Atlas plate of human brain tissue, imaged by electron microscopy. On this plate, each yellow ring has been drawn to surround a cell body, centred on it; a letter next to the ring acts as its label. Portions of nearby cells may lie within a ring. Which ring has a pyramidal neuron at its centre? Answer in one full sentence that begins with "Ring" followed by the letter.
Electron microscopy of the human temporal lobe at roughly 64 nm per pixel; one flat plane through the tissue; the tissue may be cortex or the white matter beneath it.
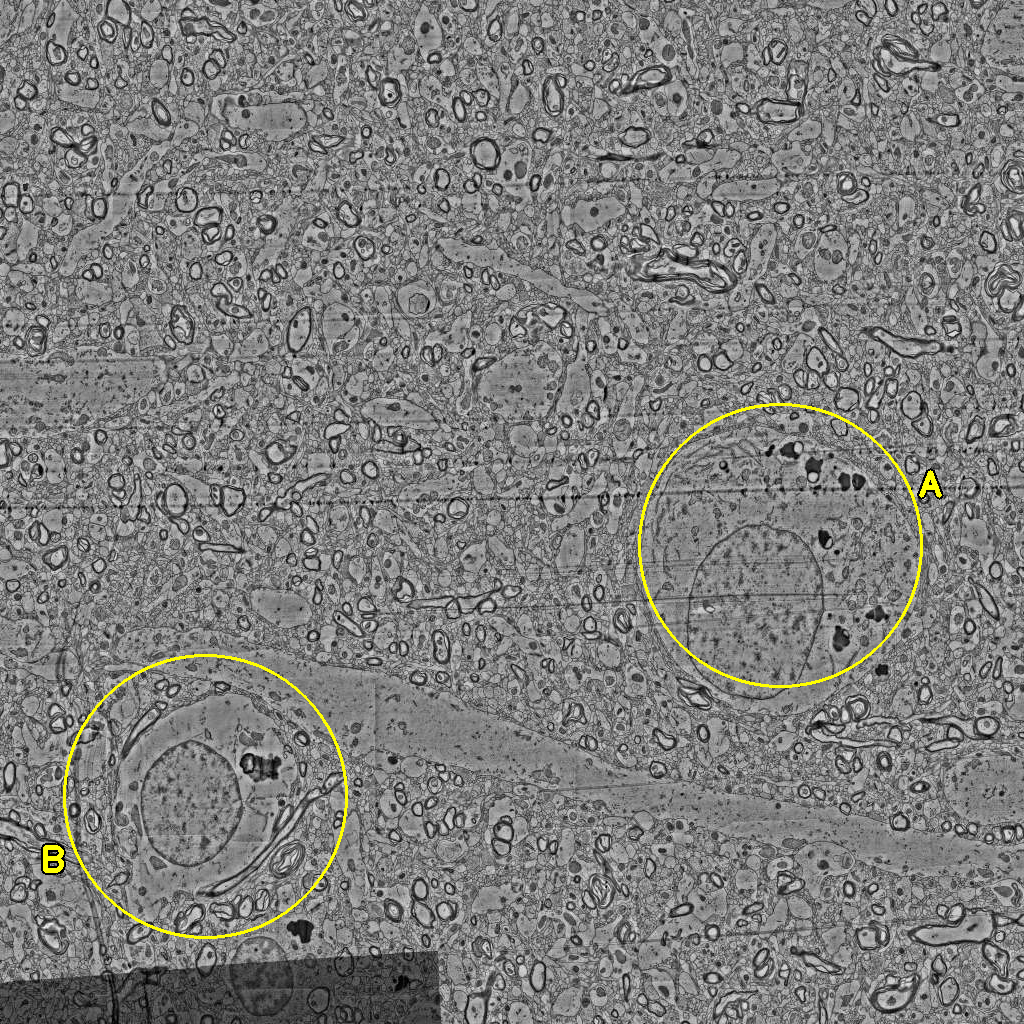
Ring A is drawn around the requested cell, which lies at its centre in the picture.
